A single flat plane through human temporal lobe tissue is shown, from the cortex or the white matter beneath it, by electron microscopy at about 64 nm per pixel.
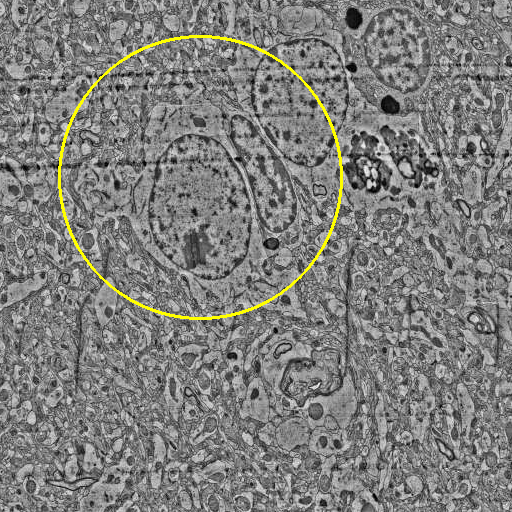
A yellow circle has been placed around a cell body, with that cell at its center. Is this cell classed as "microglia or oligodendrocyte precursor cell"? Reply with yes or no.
No, it belongs to another class.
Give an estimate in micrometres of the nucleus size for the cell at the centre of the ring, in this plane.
About 9 micrometres by about 7 micrometres in this plane.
